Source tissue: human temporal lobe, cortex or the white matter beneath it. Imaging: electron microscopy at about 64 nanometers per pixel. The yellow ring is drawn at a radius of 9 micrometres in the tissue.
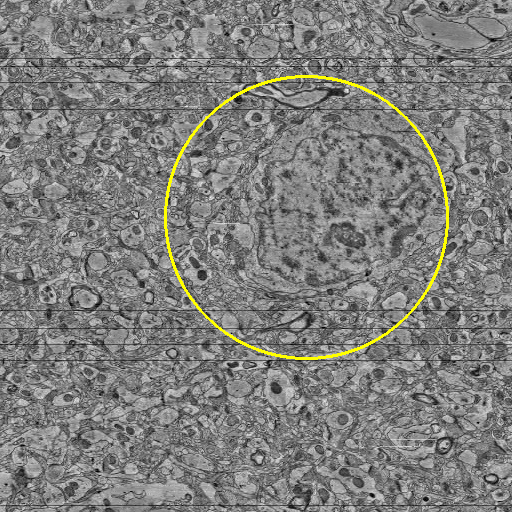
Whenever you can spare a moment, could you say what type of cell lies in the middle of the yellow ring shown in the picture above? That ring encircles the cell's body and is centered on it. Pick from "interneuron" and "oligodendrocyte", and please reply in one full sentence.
The cell whose body sits at the middle of the yellow ring is an interneuron.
